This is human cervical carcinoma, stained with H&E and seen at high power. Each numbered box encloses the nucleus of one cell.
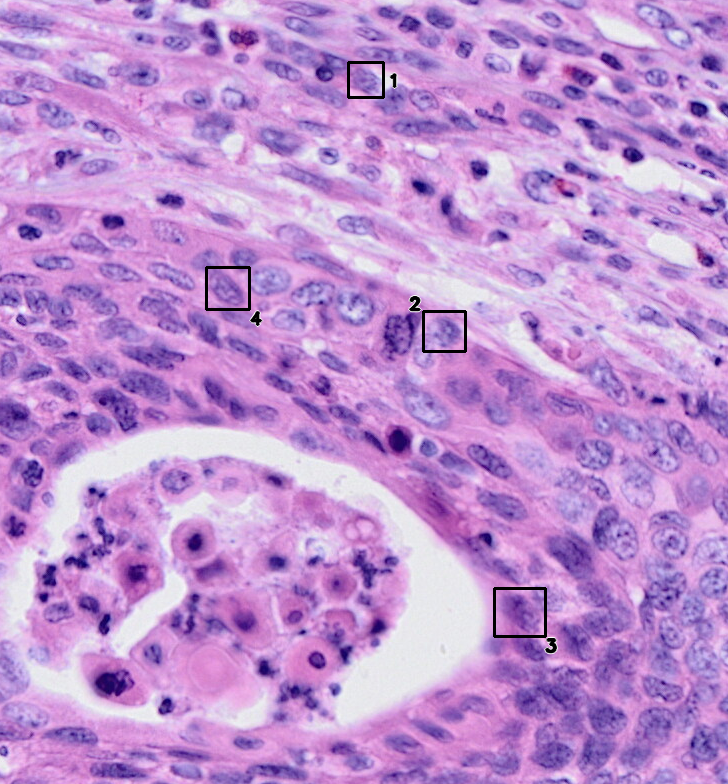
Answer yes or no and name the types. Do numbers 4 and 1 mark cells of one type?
No, mate, cell 4 is a squamous carcinoma cell and cell 1 is an endothelial cell.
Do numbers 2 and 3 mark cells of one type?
Yes, cells 2 and 3 are both squamous carcinoma cells in this section.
